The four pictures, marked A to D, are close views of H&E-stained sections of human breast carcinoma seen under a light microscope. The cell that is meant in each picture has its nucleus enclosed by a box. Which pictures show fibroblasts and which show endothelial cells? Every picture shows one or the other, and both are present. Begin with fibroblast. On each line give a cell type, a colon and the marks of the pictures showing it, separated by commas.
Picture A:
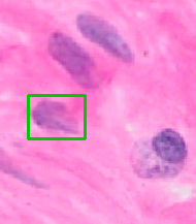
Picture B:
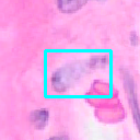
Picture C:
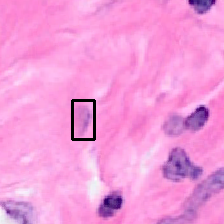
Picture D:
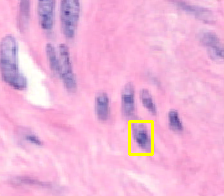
fibroblast: A, C
endothelial cell: B, D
